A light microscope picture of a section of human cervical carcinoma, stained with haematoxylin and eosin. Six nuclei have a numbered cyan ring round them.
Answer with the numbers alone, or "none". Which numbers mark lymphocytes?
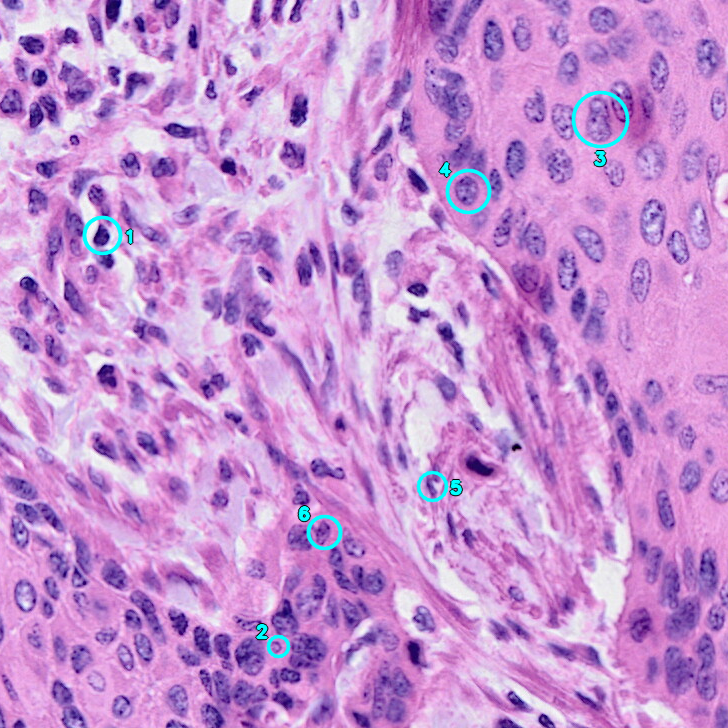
1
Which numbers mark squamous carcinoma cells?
2, 3, 4, 6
